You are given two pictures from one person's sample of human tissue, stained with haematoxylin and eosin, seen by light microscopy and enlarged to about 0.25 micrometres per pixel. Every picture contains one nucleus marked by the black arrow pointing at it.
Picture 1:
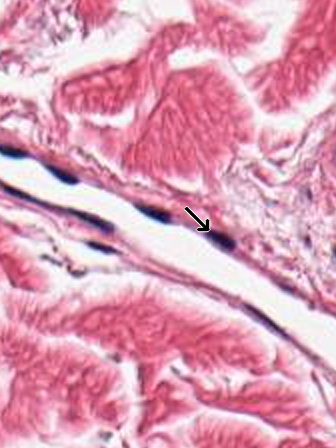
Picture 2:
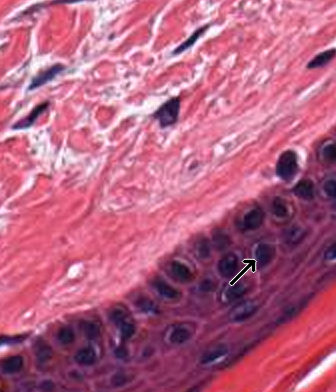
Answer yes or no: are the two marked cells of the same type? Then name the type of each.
No, the first is an endothelial cell and the second a keratinocyte.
